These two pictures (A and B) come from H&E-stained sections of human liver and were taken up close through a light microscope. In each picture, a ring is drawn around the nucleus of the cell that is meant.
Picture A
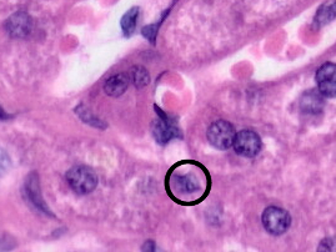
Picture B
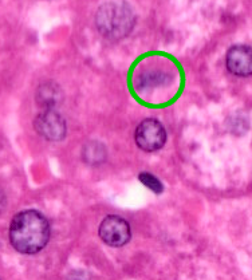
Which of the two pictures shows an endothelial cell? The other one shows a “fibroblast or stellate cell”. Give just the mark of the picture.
B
